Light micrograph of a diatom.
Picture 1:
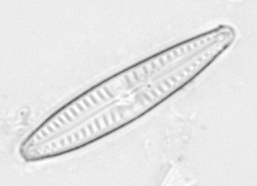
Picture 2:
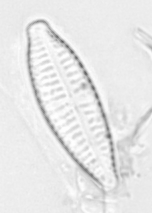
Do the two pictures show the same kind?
Yes, both are Gomphonema.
